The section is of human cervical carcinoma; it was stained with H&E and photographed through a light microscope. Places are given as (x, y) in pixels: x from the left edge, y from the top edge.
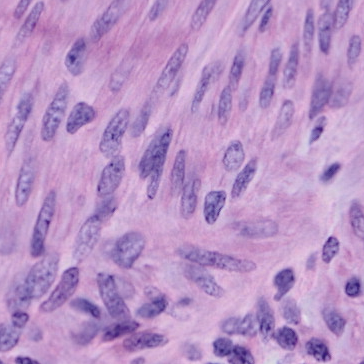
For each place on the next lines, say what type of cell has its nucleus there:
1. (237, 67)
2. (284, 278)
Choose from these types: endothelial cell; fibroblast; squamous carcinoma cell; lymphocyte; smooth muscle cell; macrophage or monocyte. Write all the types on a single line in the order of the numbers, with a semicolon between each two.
smooth muscle cell; lymphocyte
